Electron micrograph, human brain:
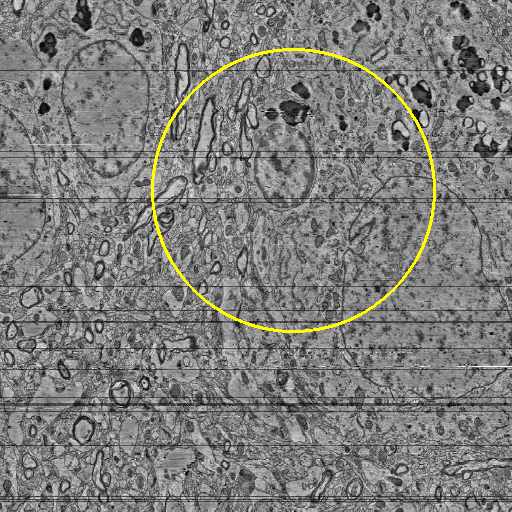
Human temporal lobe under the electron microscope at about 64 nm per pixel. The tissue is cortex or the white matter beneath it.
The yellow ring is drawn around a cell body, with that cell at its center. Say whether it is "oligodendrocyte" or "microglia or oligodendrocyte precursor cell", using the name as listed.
oligodendrocyte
